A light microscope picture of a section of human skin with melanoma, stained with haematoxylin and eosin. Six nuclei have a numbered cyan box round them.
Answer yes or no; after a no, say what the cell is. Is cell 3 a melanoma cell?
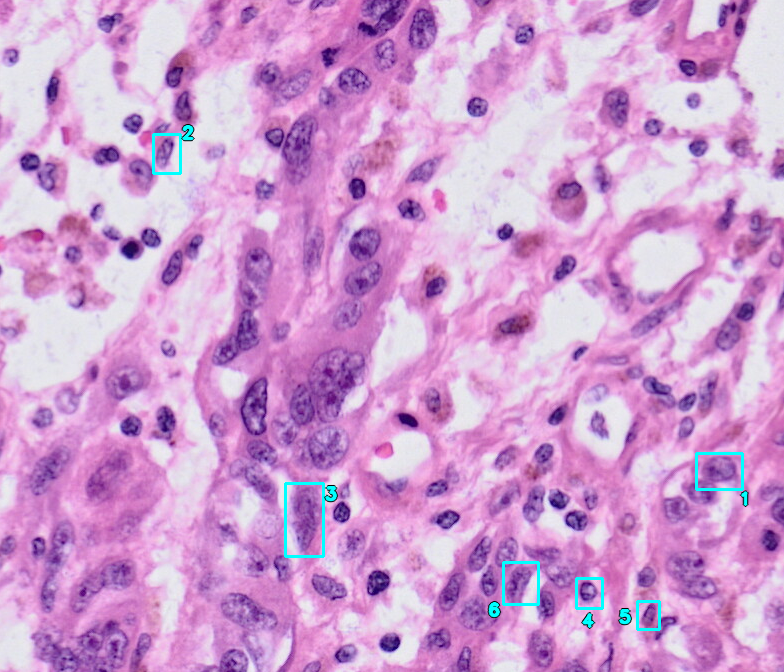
Yes.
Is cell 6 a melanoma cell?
Yes.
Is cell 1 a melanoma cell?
Yes.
